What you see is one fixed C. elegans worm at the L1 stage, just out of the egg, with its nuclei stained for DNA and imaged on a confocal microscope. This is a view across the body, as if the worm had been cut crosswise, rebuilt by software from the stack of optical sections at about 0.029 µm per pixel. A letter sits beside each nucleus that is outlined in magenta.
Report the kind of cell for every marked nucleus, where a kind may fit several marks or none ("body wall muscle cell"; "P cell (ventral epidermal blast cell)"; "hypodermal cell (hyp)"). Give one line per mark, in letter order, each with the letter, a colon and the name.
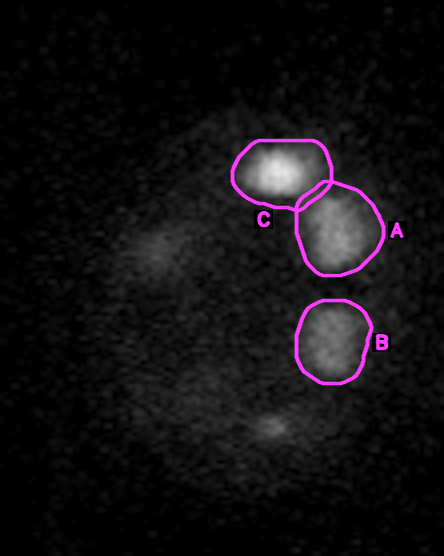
A: P cell (ventral epidermal blast cell)
B: hypodermal cell (hyp)
C: body wall muscle cell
